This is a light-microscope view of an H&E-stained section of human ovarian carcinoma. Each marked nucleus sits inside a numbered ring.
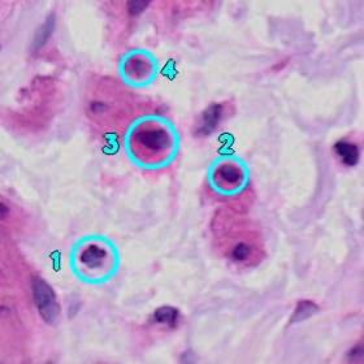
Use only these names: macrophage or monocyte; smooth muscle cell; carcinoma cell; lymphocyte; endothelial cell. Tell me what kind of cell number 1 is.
lymphocyte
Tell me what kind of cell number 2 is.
smooth muscle cell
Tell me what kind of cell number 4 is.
smooth muscle cell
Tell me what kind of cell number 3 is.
smooth muscle cell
